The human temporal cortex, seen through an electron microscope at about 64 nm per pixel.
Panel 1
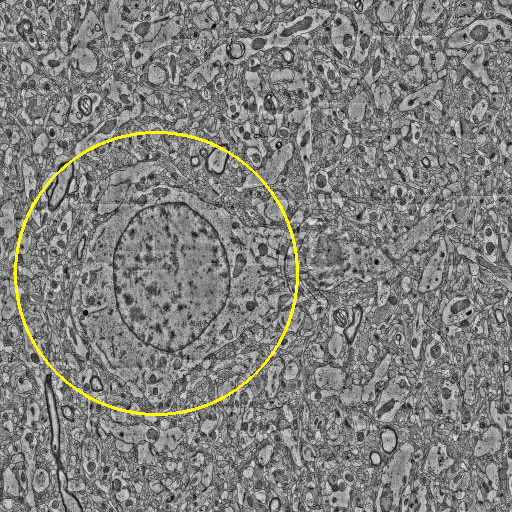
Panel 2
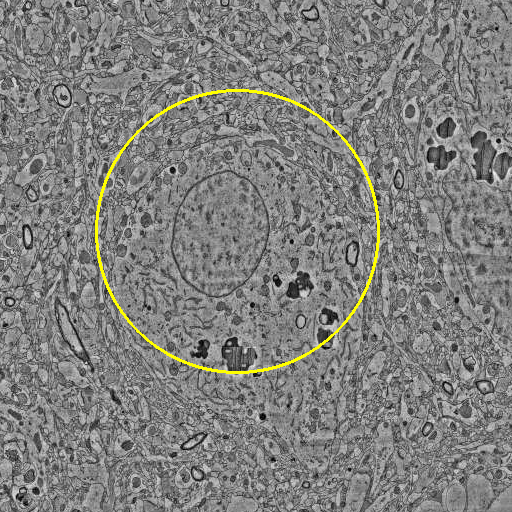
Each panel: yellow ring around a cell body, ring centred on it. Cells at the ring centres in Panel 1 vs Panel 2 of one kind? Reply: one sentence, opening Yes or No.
Yes, Panel 1 and Panel 2 have cells of one kind at the ring centres.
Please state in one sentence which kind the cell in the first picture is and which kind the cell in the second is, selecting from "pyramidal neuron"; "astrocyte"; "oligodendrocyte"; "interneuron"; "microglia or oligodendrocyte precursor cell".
The second cell is a pyramidal neuron, just as the first is.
